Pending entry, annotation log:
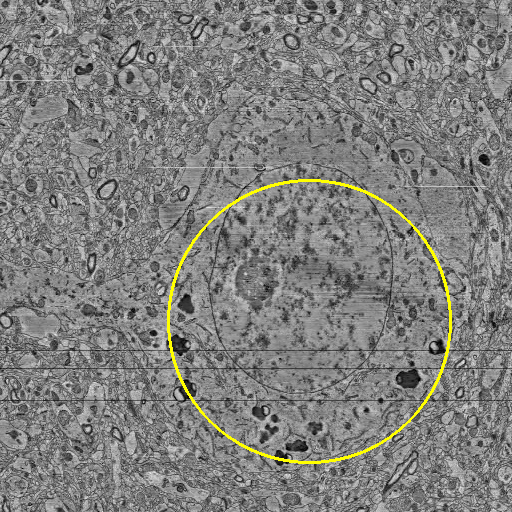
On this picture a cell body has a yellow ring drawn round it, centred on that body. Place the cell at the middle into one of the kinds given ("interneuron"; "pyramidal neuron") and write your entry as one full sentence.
The cell body at the middle of the yellow ring belongs to a pyramidal neuron.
